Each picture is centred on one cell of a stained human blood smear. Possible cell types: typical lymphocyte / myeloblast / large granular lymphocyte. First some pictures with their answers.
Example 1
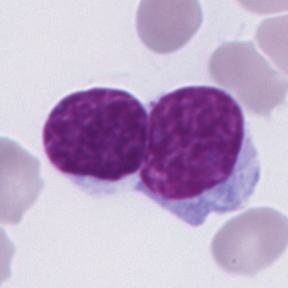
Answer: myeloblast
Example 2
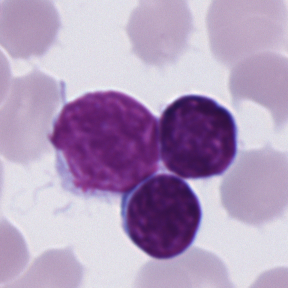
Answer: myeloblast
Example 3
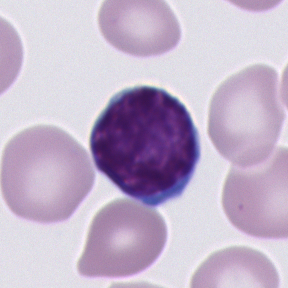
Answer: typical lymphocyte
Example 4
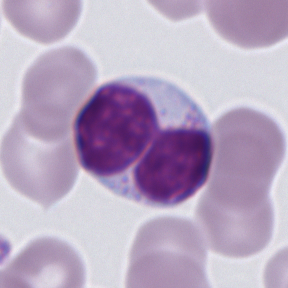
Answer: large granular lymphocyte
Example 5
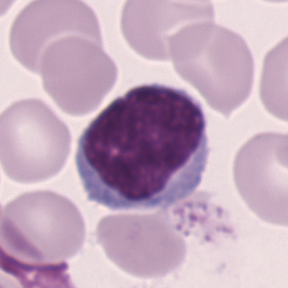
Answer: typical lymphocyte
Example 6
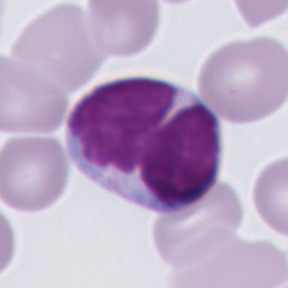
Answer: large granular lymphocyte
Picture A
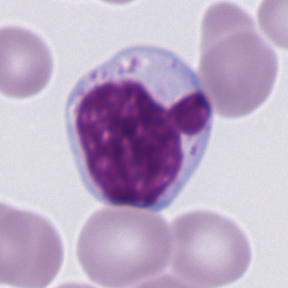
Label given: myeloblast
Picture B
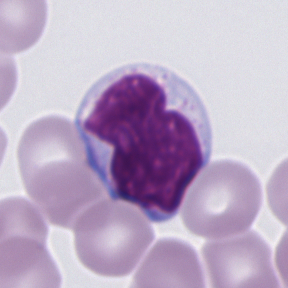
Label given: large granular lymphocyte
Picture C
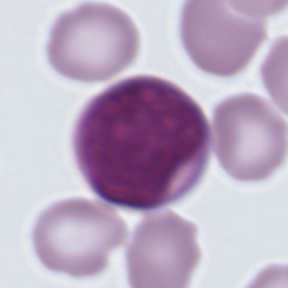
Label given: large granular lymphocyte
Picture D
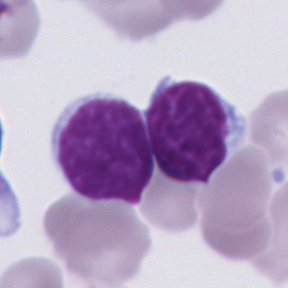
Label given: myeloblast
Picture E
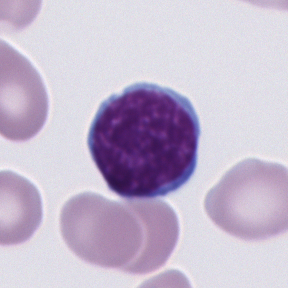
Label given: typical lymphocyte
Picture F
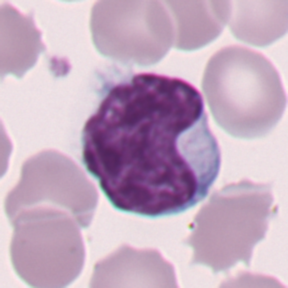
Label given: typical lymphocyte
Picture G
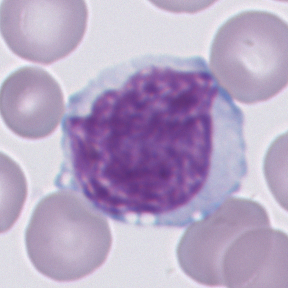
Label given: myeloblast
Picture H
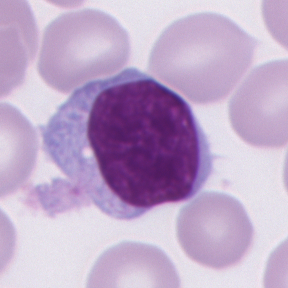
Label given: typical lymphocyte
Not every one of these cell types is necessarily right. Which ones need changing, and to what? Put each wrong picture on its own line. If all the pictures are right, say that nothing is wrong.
A: change myeloblast to large granular lymphocyte
C: change large granular lymphocyte to myeloblast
